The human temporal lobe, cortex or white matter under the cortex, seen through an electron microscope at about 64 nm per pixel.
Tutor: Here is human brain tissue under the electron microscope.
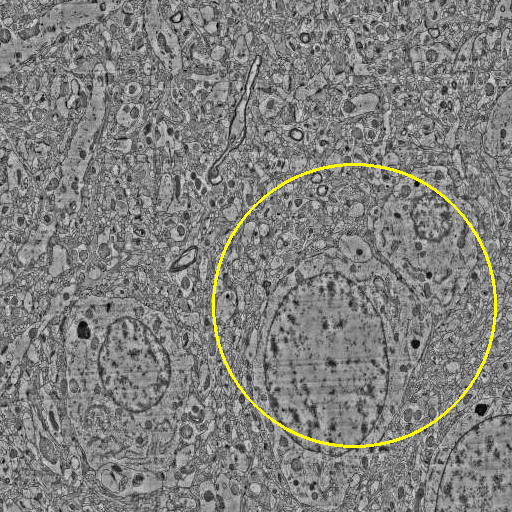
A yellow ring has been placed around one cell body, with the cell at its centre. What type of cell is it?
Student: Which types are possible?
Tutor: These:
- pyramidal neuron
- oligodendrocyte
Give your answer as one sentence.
What the ring picks out here is a pyramidal neuron.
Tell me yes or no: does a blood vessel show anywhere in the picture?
No, the picture includes no blood vessel.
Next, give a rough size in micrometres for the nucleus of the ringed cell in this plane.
In this plane, roughly 12 by 8 micrometres.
